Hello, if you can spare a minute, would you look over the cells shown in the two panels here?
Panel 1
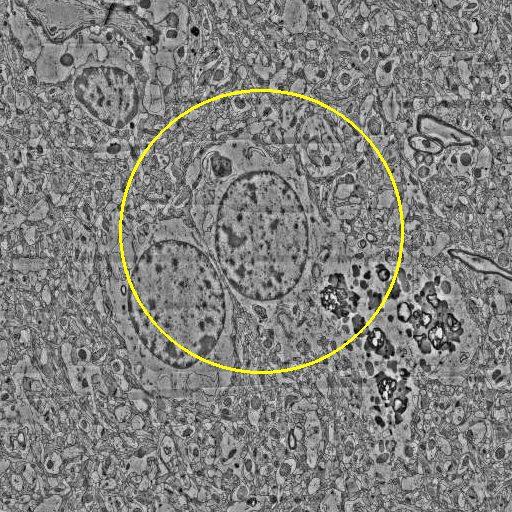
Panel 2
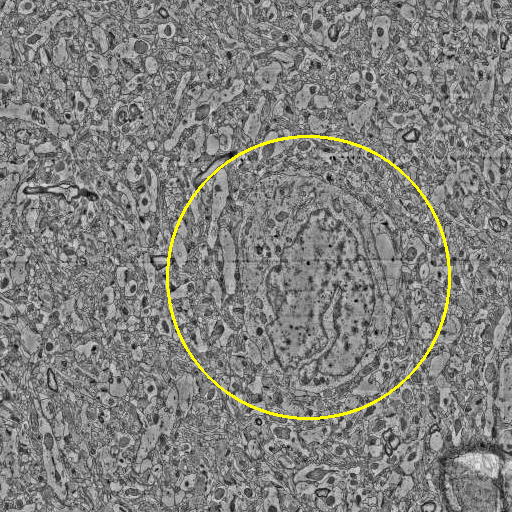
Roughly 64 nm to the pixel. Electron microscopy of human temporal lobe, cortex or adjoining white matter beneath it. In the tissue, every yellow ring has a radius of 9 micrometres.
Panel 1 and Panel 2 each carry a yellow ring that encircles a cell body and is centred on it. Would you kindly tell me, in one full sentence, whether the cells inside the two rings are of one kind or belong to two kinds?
The cells at the centres of the rings in Panel 1 and Panel 2 belong to two kinds.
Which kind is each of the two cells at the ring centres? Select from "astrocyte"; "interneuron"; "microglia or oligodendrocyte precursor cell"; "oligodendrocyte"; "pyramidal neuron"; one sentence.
The cell at the centre of the ring is an astrocyte in the first picture and an interneuron in the second.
